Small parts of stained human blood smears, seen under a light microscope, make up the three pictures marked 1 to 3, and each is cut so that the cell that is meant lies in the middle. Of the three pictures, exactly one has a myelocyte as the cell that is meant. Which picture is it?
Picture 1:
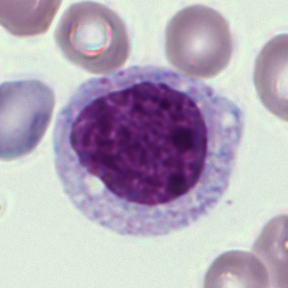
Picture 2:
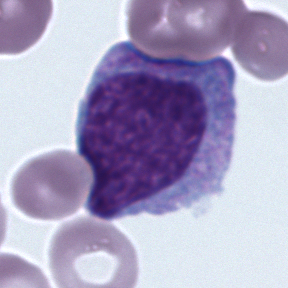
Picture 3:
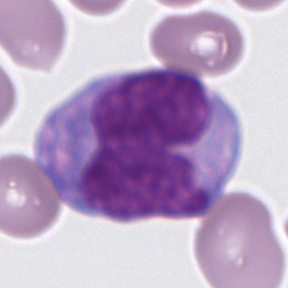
1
